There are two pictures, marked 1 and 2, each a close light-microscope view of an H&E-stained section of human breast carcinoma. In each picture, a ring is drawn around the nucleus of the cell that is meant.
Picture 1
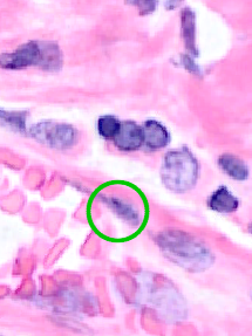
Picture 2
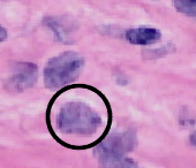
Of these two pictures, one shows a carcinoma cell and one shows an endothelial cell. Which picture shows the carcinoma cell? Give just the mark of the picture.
2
